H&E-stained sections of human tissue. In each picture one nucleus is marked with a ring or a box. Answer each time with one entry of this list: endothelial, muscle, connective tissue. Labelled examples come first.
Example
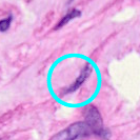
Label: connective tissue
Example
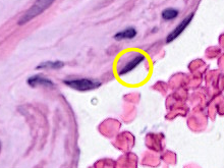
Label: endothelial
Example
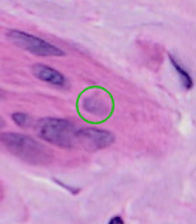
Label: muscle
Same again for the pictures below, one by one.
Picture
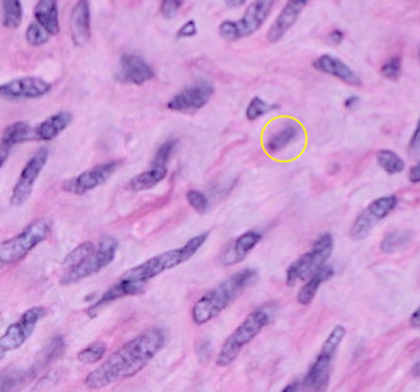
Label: muscle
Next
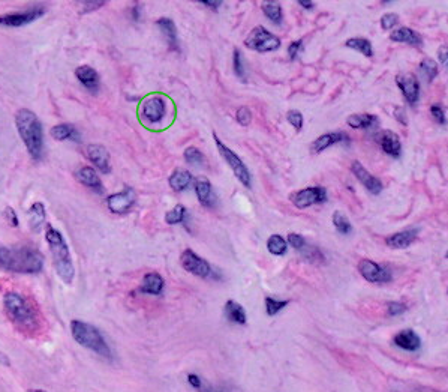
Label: muscle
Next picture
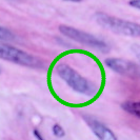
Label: muscle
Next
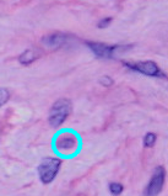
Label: muscle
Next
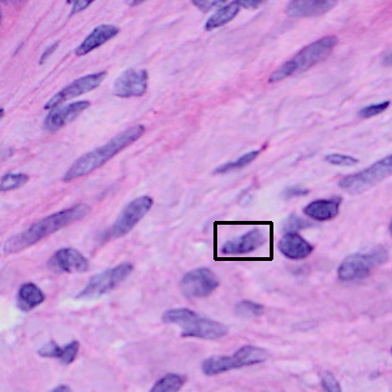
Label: connective tissue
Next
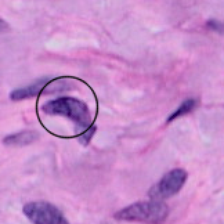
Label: connective tissue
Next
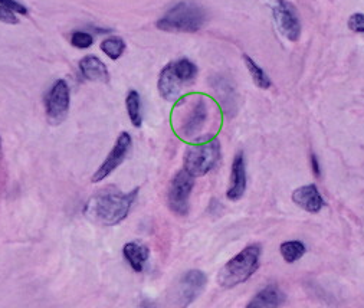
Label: endothelial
